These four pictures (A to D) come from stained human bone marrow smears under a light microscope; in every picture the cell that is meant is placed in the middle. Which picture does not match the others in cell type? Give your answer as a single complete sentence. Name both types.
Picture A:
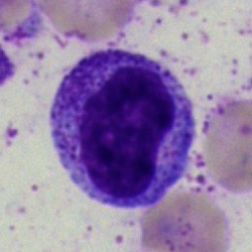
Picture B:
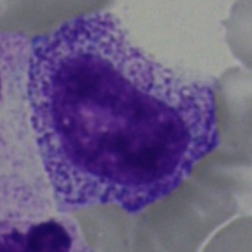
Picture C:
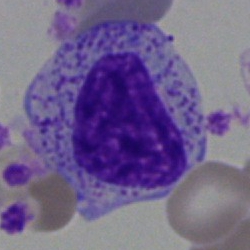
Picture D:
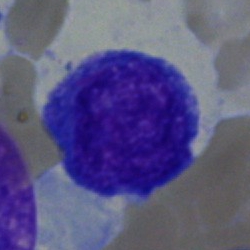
The different one is picture D; it shows a blast, whereas all the others show myelocytes.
